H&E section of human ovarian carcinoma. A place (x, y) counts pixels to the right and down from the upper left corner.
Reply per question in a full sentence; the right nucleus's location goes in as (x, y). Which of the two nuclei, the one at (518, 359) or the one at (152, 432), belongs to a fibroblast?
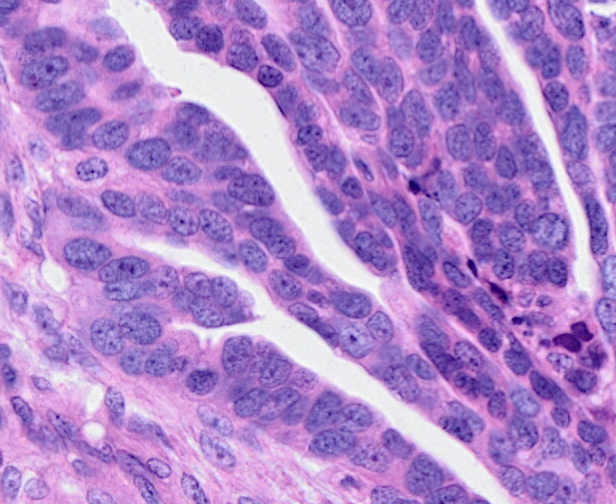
Of the two candidate nuclei, the one at (152, 432) is that of a fibroblast.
